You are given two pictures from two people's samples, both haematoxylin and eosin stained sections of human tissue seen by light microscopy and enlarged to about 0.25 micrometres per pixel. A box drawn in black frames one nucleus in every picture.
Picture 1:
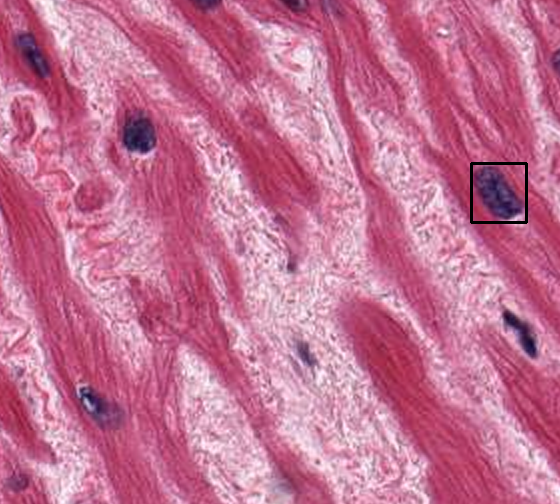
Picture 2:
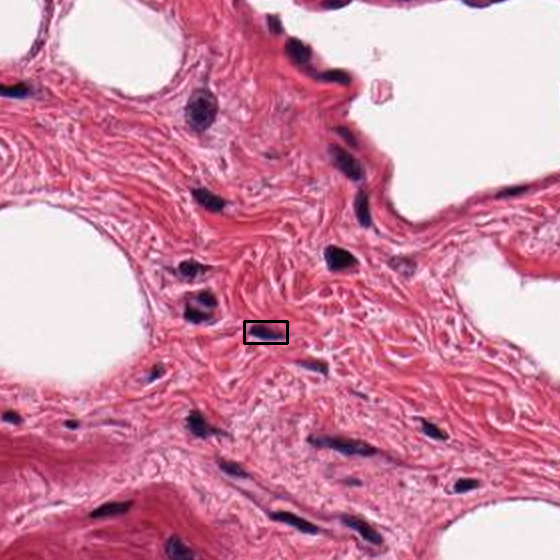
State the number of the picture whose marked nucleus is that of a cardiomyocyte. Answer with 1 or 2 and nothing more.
1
